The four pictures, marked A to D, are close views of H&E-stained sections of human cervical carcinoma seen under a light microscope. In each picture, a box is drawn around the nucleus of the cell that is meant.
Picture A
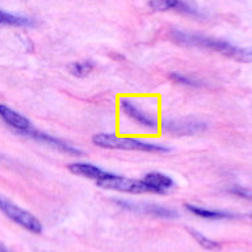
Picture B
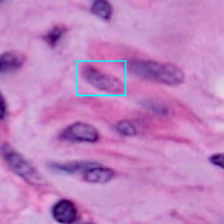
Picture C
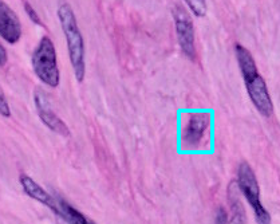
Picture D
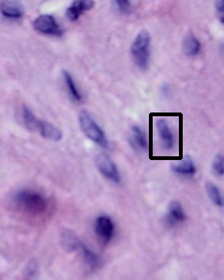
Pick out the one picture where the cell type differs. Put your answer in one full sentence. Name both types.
All pictures except D show smooth muscle cells; picture D shows a fibroblast.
